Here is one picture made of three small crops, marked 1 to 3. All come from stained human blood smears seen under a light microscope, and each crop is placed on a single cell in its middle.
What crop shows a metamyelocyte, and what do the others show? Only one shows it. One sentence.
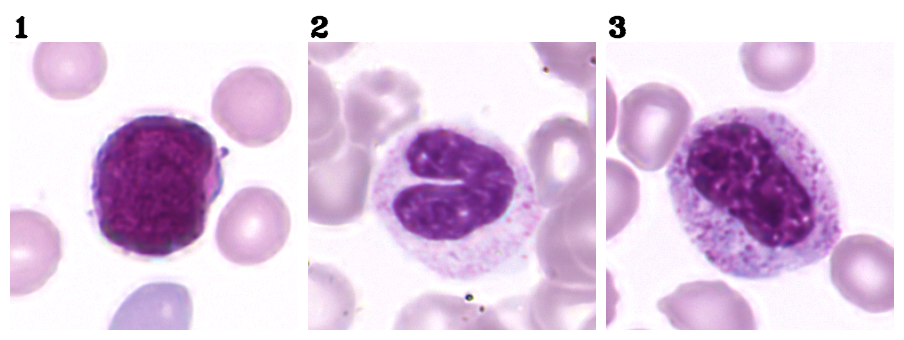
Seen in crop 3 is a metamyelocyte, while crop 1 is an atypical promyelocyte and crop 2 is a band neutrophil.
